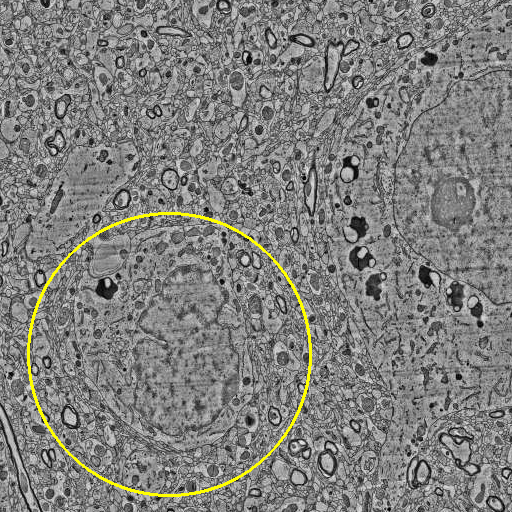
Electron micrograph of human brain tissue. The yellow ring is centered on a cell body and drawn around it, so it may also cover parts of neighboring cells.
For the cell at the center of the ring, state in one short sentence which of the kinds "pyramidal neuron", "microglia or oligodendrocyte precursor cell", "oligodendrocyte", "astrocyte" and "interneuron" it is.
This ring is centered on an interneuron.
